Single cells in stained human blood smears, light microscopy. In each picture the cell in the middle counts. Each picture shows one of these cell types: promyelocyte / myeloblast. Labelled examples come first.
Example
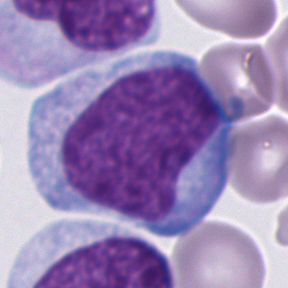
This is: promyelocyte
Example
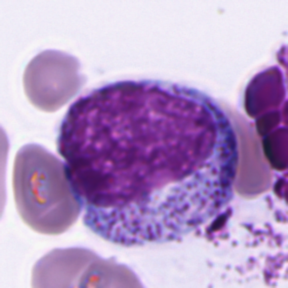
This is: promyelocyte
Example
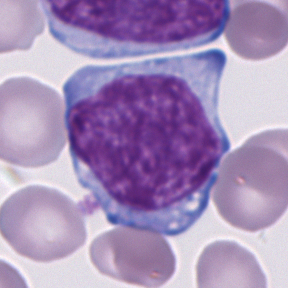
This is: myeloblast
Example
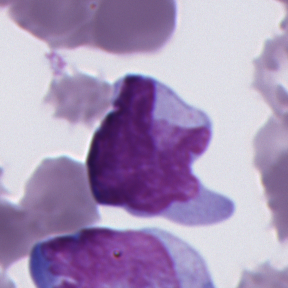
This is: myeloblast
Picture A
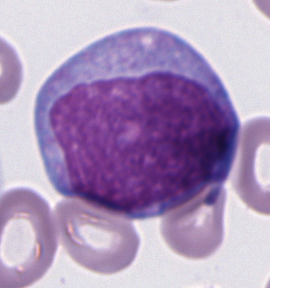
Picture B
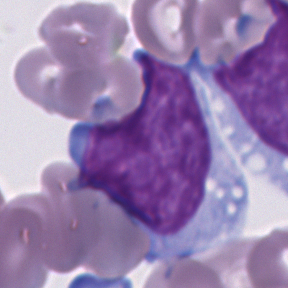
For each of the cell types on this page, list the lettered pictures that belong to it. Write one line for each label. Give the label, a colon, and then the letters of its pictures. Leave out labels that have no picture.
promyelocyte: A
myeloblast: B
